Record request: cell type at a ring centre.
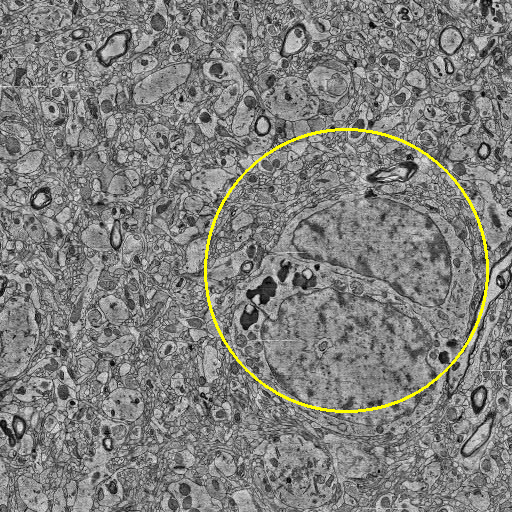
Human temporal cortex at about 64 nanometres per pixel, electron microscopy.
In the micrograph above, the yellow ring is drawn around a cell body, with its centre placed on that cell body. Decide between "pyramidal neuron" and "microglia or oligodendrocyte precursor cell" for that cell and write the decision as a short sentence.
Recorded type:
The cell centred in the yellow ring is a microglial cell or oligodendrocyte precursor cell.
